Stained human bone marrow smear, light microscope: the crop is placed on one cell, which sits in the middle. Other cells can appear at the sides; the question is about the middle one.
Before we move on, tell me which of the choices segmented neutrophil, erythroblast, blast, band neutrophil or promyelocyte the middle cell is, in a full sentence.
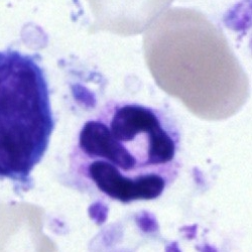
The crop's centre is taken up by a segmented neutrophil.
